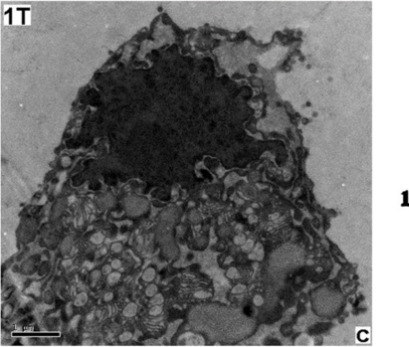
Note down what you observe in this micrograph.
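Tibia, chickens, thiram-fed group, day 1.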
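This is a single growth plate chondrocyte seen at high magnification, and it looks like a possible apoptotic cell. Its nucleus is condensed into a very dark, dense mass in the upper half, the look of a pyknotic nucleus. The cell border is irregular, with small blebs along its surface.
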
